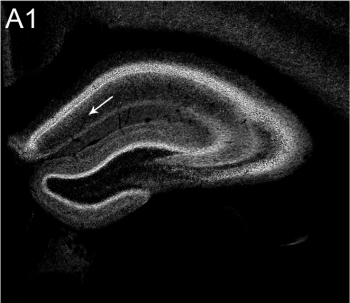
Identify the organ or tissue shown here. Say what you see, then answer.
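A curved C-shaped band of bright cell layer interlocking with a second, V-shaped band. The bands sit within a darker surrounding brain section. So: hippocampus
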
